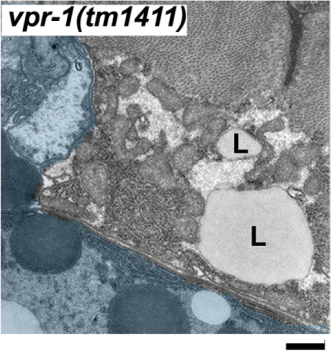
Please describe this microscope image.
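This electron micrograph shows body wall muscle cytoplasm with filament arrays at the upper right and a crowded zone of many mitochondria below them. Two large, round, pale, electron-lucent droplets sit in the cytoplasm next to the mitochondria. Light-blue-shaded neighbouring tissue borders the muscle at the left and bottom.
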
